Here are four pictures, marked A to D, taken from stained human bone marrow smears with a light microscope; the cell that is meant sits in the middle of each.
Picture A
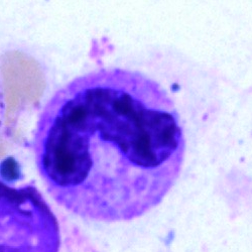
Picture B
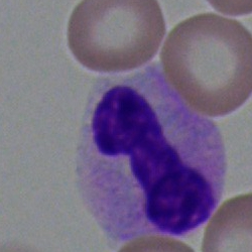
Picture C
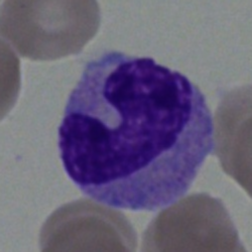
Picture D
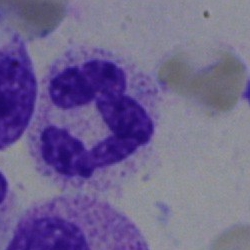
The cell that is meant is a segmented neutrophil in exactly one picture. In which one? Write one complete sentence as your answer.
It is picture D that shows the segmented neutrophil.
